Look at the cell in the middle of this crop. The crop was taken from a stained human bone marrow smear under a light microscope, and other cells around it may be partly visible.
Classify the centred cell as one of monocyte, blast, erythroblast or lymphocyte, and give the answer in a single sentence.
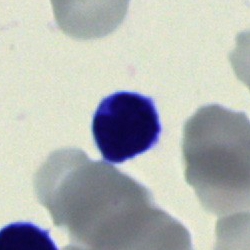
In the central position of this crop, the cell is a lymphocyte.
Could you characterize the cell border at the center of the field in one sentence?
Worth noting that the cell border is smooth and lacks projections.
